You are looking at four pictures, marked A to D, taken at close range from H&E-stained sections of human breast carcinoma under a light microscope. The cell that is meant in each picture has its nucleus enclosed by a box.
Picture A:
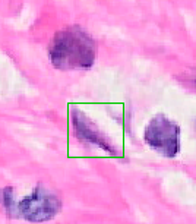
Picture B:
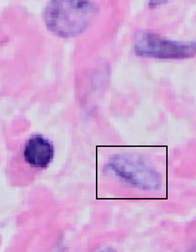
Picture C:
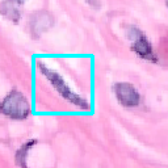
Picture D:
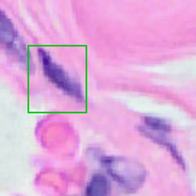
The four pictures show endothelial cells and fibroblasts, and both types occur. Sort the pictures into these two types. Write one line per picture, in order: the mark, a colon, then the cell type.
A: fibroblast
B: fibroblast
C: fibroblast
D: endothelial cell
